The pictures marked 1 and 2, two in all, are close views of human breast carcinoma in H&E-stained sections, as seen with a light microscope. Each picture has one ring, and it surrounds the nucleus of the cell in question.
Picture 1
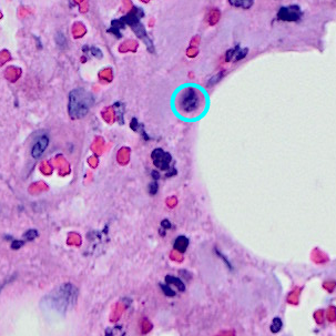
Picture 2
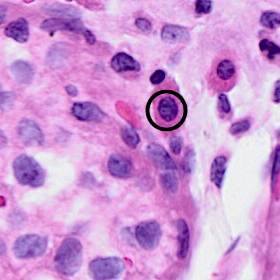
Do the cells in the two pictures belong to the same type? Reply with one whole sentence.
Yes, they are the same type: both are mast cells.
